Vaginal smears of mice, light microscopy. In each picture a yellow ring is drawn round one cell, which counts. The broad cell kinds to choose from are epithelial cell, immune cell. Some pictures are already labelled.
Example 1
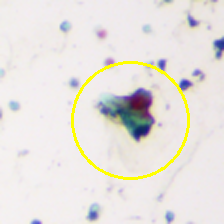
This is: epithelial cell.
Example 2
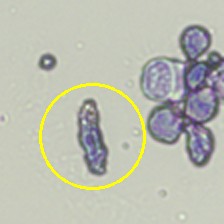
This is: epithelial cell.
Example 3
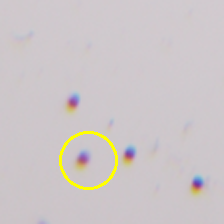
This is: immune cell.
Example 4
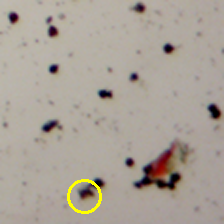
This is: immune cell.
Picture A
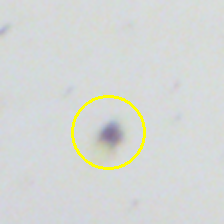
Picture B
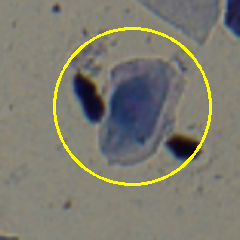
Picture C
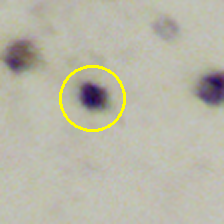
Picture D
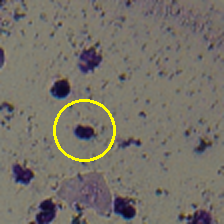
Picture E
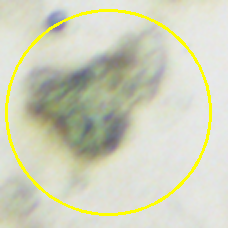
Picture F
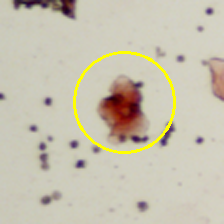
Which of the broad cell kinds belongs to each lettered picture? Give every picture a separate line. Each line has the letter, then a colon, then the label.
A: immune cell.
B: epithelial cell.
C: immune cell.
D: immune cell.
E: epithelial cell.
F: epithelial cell.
